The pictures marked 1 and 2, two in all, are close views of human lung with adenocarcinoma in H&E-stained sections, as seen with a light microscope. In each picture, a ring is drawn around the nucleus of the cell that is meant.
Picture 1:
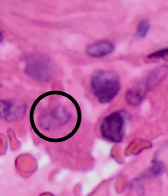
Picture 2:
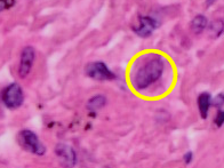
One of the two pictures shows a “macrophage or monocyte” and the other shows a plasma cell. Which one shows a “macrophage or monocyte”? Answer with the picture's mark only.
1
